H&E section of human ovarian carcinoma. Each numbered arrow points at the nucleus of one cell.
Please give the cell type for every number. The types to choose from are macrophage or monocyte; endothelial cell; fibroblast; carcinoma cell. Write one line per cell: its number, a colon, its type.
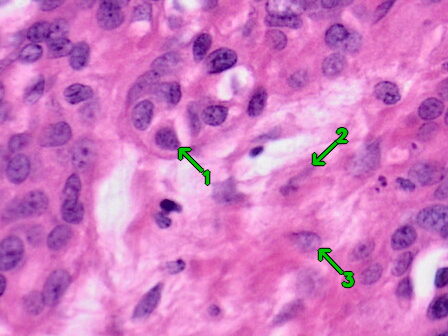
1: macrophage or monocyte
2: fibroblast
3: fibroblast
